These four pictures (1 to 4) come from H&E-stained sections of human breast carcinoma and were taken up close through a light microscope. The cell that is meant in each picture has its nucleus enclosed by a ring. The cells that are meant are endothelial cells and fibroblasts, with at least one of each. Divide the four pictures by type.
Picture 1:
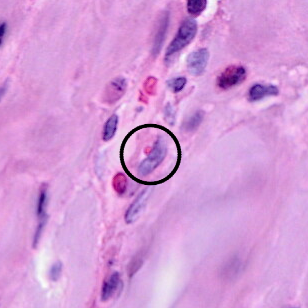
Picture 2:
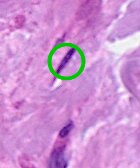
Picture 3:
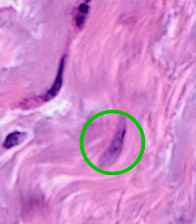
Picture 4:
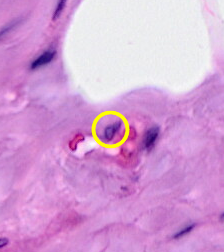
1: endothelial cell
2: fibroblast
3: fibroblast
4: endothelial cell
